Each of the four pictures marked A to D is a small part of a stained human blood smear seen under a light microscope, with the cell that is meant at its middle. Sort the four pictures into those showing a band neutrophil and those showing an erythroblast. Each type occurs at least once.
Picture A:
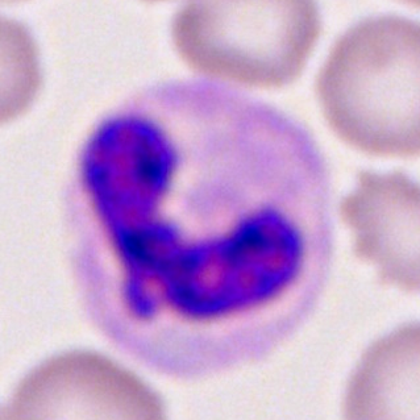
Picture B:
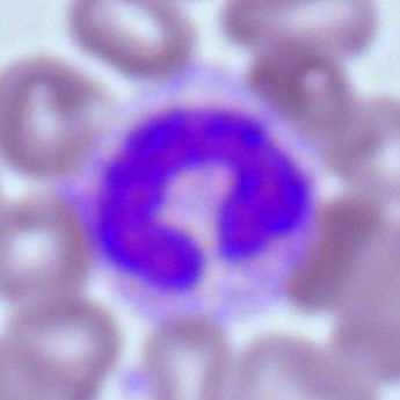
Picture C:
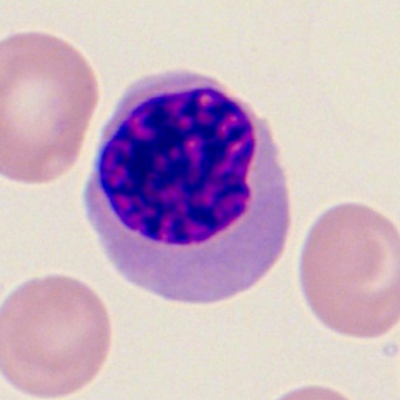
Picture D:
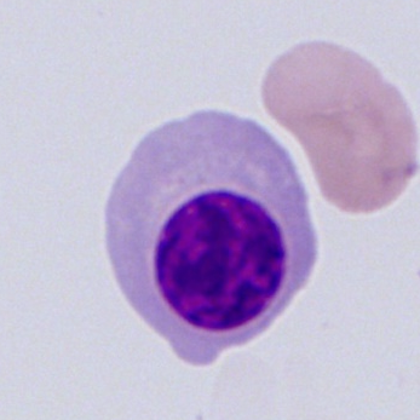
A: band neutrophil
B: band neutrophil
C: erythroblast
D: erythroblast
